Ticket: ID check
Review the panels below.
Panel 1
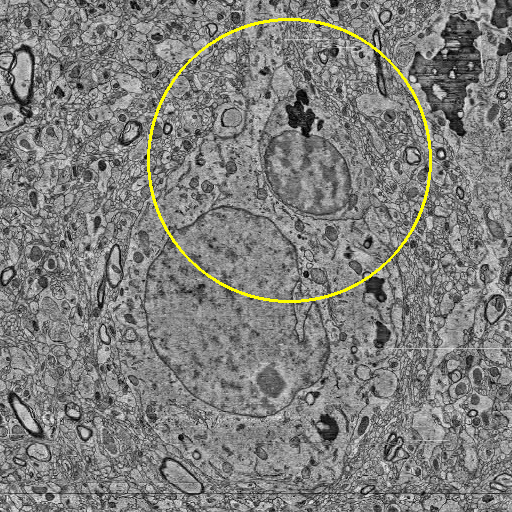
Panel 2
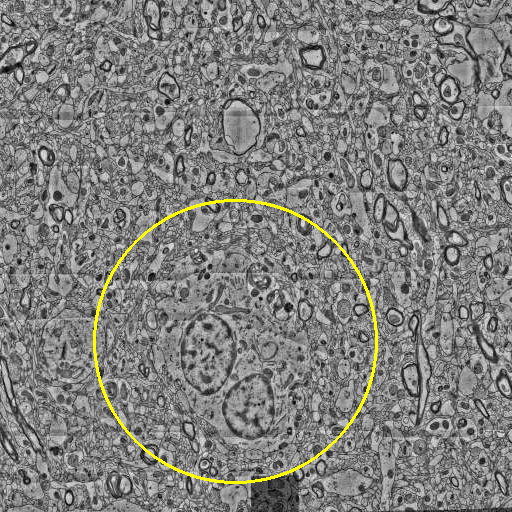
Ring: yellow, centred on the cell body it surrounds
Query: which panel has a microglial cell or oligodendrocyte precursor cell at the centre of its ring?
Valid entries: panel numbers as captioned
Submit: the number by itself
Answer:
2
